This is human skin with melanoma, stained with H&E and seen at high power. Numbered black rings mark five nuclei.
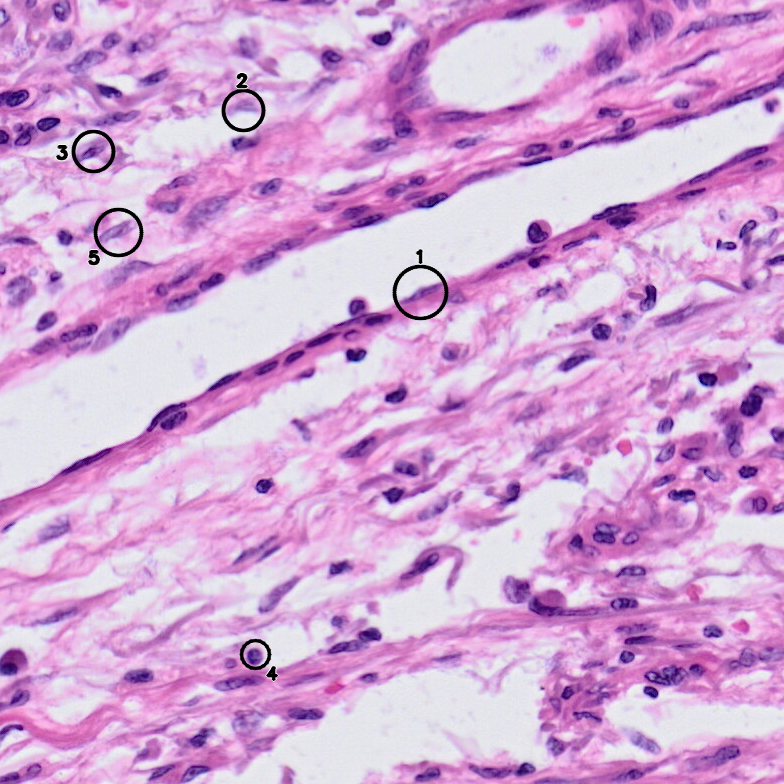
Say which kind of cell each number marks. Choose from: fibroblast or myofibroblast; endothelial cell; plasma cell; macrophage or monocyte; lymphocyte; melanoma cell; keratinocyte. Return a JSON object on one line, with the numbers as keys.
{"1": "endothelial cell", "2": "fibroblast or myofibroblast", "3": "fibroblast or myofibroblast", "4": "lymphocyte", "5": "fibroblast or myofibroblast"}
